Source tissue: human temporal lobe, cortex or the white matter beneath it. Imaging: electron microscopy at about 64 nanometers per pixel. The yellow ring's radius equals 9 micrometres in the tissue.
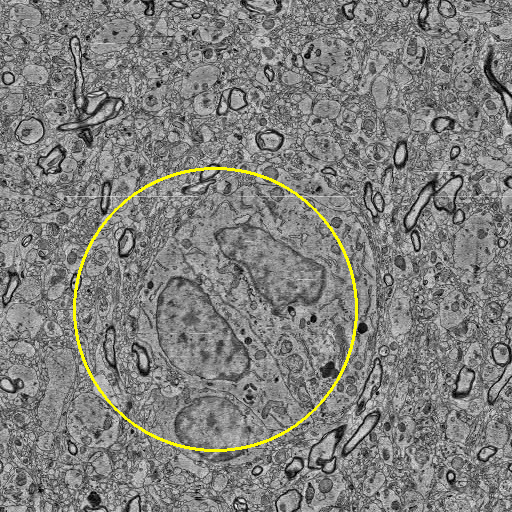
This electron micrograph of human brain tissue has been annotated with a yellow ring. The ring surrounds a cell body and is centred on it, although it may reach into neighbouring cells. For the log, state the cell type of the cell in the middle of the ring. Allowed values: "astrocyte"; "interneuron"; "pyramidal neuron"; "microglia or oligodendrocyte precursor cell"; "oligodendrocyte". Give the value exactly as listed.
microglia or oligodendrocyte precursor cell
